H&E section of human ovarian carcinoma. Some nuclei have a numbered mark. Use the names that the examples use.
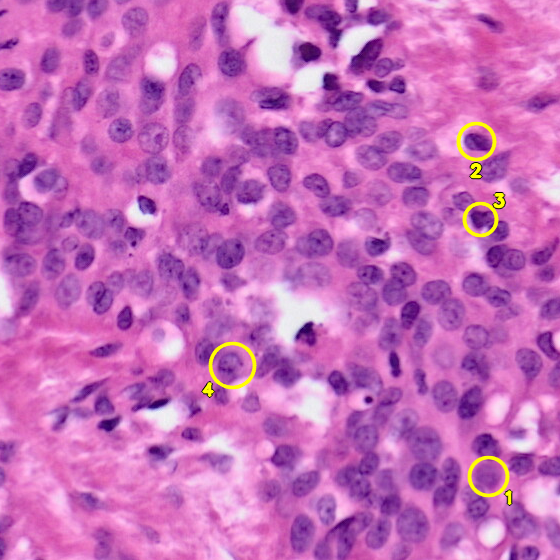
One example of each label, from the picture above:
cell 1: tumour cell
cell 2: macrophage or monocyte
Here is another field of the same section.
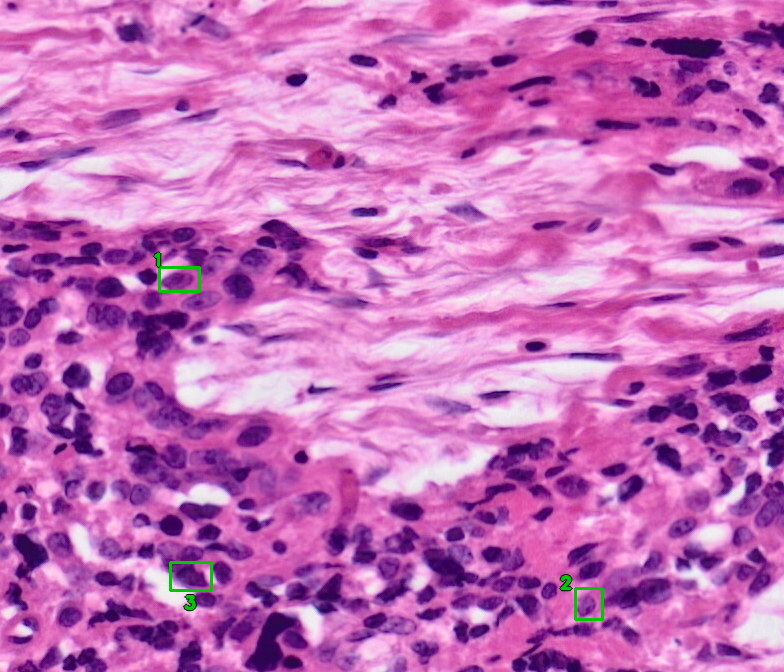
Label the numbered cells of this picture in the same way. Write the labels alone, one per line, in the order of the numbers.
tumour cell
macrophage or monocyte
tumour cell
